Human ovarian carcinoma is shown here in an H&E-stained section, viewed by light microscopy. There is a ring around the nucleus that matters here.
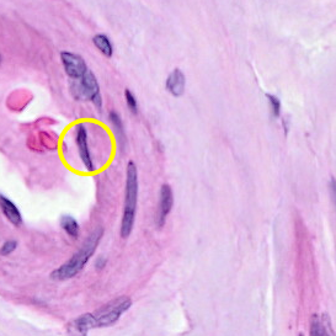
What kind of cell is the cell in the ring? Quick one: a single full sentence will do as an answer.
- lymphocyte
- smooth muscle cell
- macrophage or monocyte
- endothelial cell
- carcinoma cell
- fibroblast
So far as cell type goes, the cell in the ring is an endothelial cell.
